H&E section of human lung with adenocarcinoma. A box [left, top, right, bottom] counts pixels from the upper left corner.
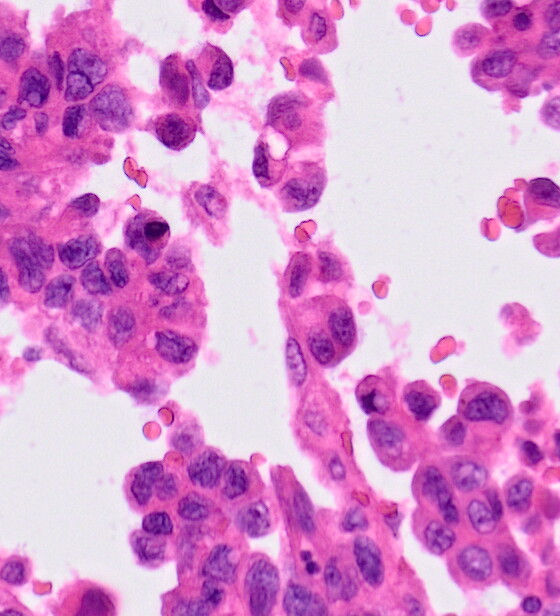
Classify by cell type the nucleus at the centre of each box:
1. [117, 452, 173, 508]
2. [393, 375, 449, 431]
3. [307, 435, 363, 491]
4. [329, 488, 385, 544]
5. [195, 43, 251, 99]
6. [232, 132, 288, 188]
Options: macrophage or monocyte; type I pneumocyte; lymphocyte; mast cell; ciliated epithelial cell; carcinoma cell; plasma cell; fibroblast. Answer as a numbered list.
1. carcinoma cell
2. carcinoma cell
3. macrophage or monocyte
4. macrophage or monocyte
5. carcinoma cell
6. carcinoma cell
